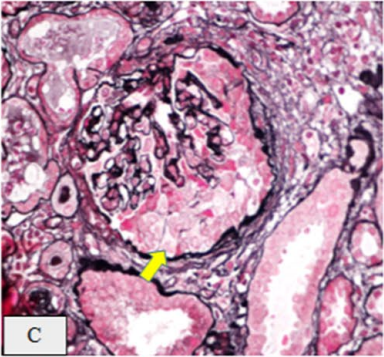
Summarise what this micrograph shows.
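This glomerulus shows a large cellular crescent occupying part of Bowman's space beside a compressed capillary tuft. The crescent appears as a pale pink mass of layered cells lying against the capsule on the lower side of the tuft. The capsule is surrounded by thickened interstitial tissue. Tubules with black-outlined basement membranes and pink cytoplasm lie around the glomerulus.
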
